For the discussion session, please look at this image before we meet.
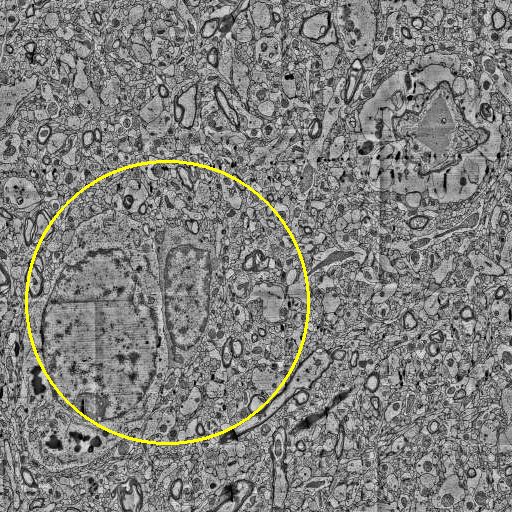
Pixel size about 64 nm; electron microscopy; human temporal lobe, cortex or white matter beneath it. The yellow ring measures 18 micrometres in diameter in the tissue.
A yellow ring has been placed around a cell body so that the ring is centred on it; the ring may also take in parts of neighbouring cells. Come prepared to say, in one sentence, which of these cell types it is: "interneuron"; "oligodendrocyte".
The cell centred in the ring is an oligodendrocyte.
